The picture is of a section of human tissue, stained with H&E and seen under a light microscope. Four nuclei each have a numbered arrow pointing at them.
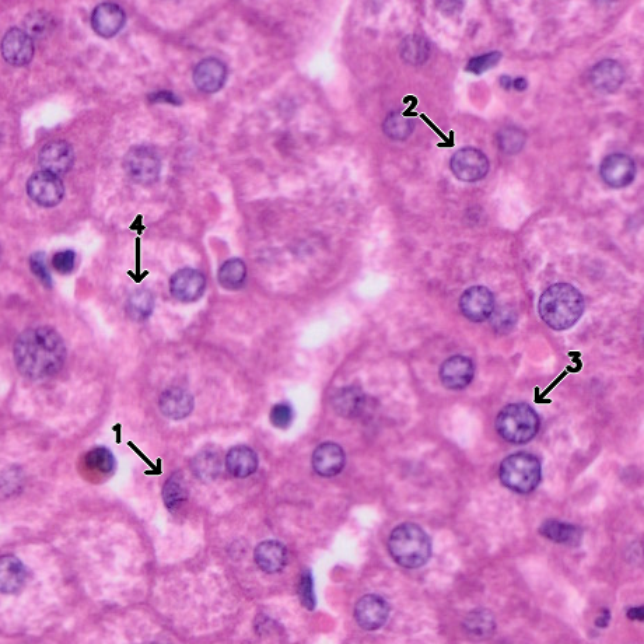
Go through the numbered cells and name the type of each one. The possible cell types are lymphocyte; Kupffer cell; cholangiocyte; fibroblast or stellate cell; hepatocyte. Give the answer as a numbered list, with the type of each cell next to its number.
1. Kupffer cell
2. hepatocyte
3. hepatocyte
4. hepatocyte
